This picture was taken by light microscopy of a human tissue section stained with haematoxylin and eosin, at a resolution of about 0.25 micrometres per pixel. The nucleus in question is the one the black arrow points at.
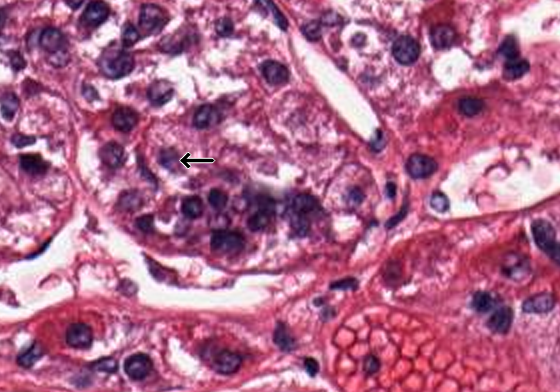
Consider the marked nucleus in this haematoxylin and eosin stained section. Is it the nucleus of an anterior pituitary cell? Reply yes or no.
yes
